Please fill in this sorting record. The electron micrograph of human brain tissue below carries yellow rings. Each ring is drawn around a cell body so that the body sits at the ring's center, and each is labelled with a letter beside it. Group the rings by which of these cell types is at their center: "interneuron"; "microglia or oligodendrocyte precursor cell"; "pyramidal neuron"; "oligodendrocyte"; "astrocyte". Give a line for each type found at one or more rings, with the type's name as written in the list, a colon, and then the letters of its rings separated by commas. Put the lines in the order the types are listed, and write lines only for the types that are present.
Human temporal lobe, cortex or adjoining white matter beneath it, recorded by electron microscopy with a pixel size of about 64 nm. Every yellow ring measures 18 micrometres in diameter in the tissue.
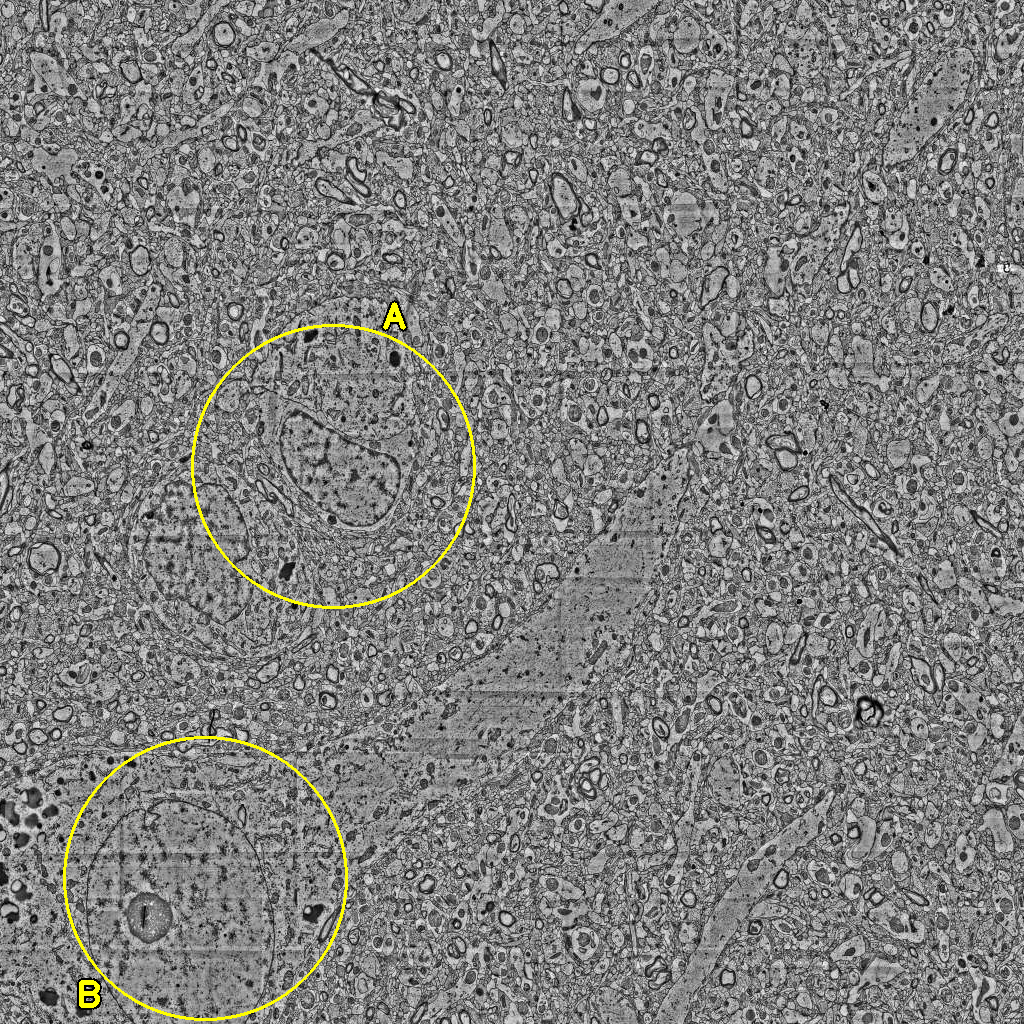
microglia or oligodendrocyte precursor cell: A
pyramidal neuron: B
